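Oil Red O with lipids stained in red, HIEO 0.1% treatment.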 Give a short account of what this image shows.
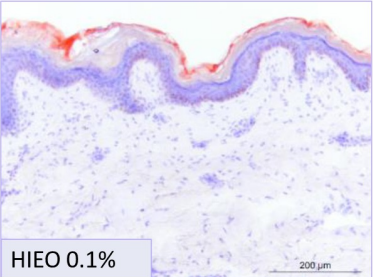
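This is a section of skin with a stratified squamous epidermis over a loose dermis. The epidermis forms an undulating band of tightly packed cells with blue-purple nuclei, densest in the basal rows, and its lower border dips into the dermis in gentle ridges. Above the living layers lies a pale, flaky horny layer partly lifted from the surface.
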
